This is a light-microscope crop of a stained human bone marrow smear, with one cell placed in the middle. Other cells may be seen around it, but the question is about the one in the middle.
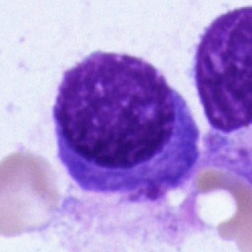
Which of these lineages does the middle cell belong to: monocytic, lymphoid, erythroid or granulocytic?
lymphoid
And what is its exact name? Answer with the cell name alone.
plasma cell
